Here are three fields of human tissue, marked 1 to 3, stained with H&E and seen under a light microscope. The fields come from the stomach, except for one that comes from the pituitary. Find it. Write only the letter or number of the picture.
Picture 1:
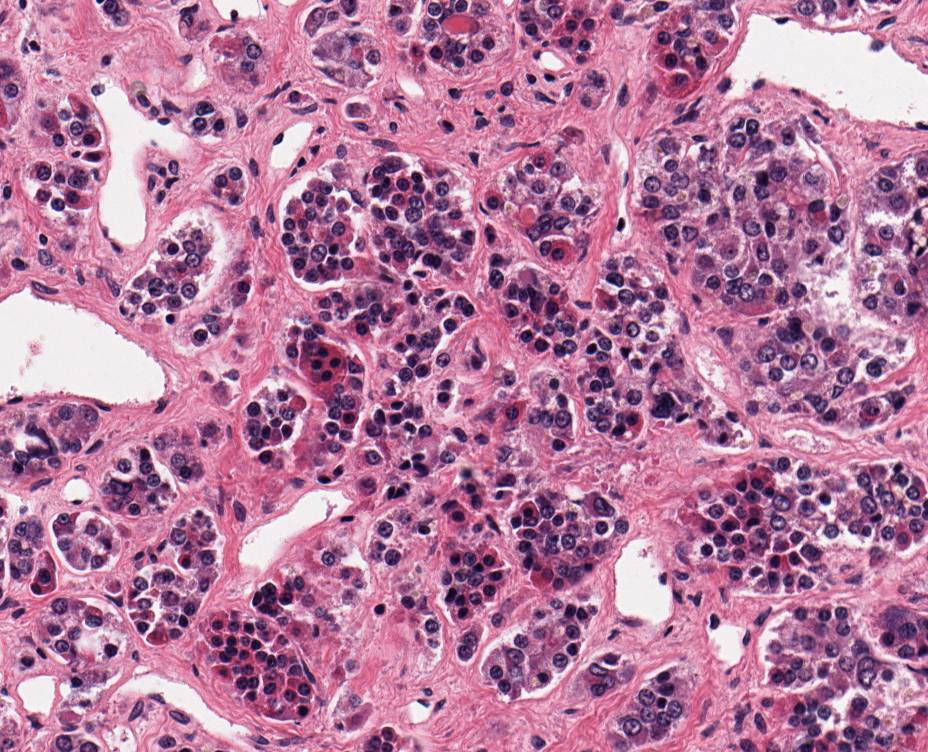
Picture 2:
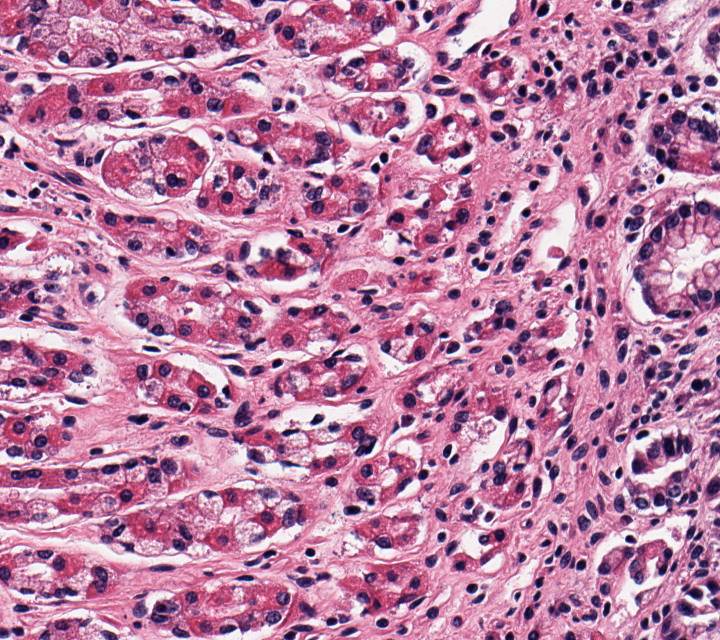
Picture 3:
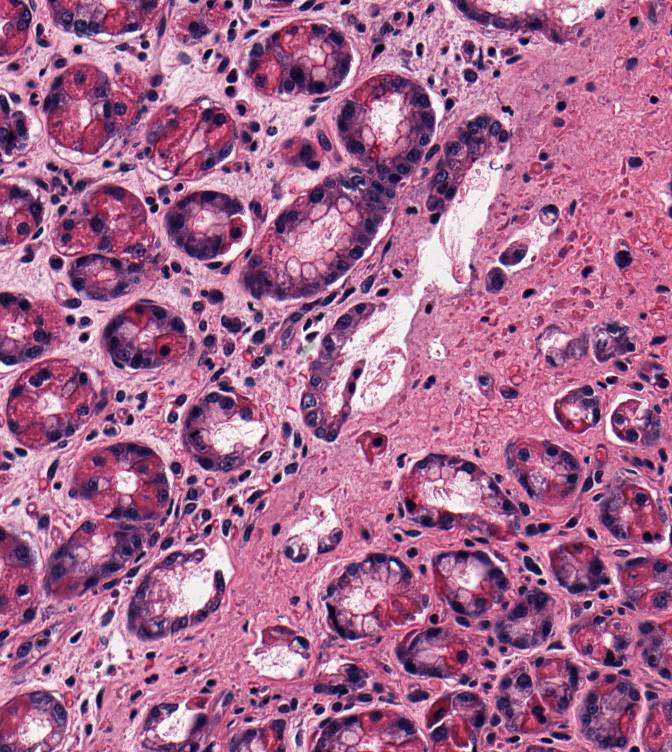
1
